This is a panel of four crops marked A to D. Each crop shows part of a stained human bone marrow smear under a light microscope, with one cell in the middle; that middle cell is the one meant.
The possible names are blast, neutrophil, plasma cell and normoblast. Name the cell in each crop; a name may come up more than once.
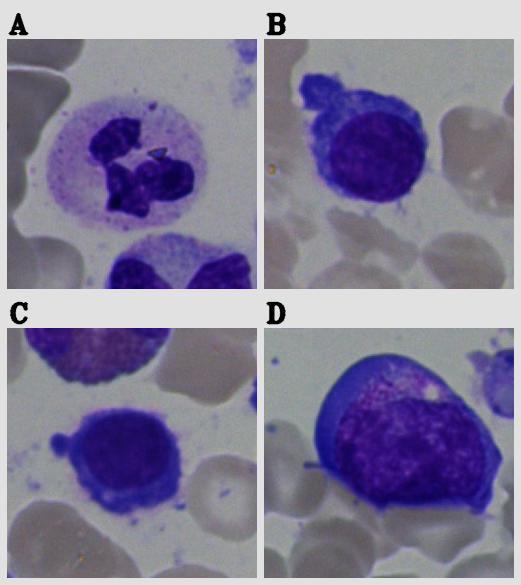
A: neutrophil
B: plasma cell
C: plasma cell
D: blast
